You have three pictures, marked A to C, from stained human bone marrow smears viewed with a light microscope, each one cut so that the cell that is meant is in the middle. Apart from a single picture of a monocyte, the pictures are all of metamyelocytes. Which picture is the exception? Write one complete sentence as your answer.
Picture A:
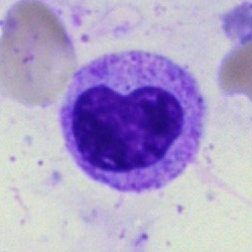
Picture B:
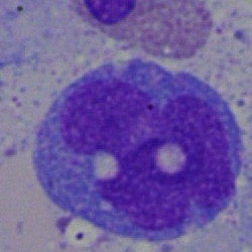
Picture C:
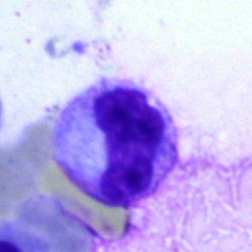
Picture B is the one that shows the monocyte.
